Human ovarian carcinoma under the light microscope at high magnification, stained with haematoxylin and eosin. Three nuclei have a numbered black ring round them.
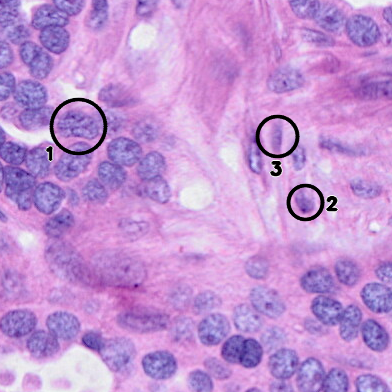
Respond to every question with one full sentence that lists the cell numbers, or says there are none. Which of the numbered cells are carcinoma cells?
Across all the numbered cells, only number 1 is a carcinoma cell.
